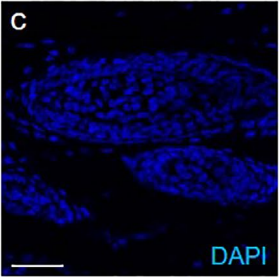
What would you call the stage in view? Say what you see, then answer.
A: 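A broad bulb of many layered nuclei surrounds a central oval cell cluster. That points to this answer: anagen.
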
